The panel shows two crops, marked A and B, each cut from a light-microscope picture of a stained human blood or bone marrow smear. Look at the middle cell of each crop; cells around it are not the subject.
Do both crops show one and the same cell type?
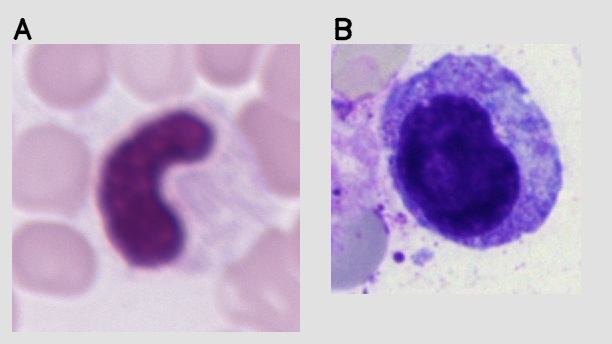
no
